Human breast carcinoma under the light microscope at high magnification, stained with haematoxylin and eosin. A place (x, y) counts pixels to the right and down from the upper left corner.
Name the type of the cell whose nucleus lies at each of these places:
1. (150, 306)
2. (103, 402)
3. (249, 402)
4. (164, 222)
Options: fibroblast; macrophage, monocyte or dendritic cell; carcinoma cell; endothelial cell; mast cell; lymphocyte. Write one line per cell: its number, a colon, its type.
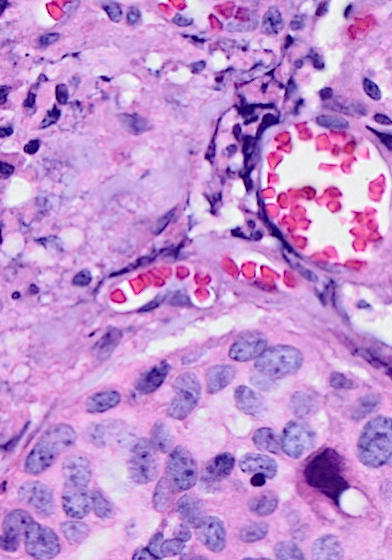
1: endothelial cell
2: carcinoma cell
3: carcinoma cell
4: fibroblast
